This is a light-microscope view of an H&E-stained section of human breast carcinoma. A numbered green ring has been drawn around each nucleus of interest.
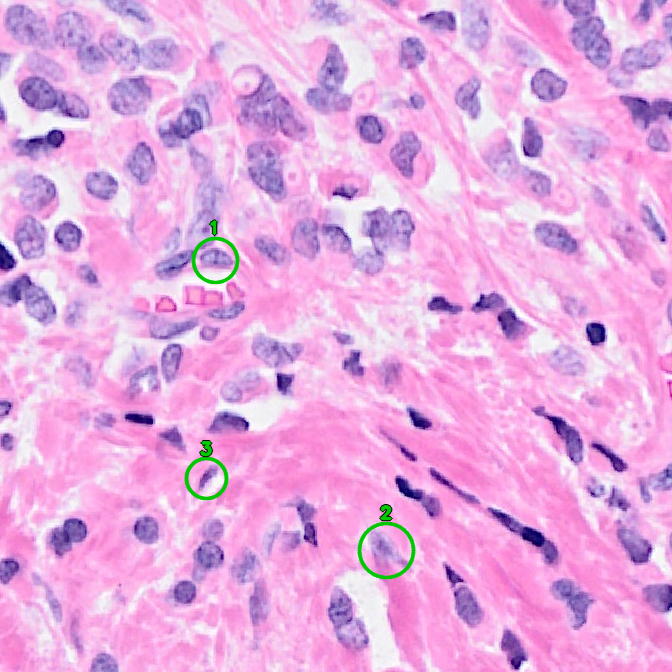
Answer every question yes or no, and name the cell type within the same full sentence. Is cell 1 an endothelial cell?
Yes, the cell pointed out as number 1 is an endothelial cell.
